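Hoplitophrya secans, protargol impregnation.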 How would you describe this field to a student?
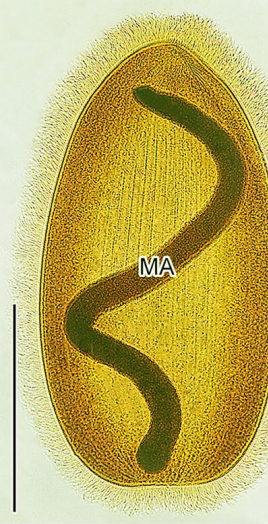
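A single long, sinuous macronucleus, stained dark brown to black, winds in an S-shape through almost the entire length of the body. Fine longitudinal rows run along the cell surface beneath the cilia.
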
